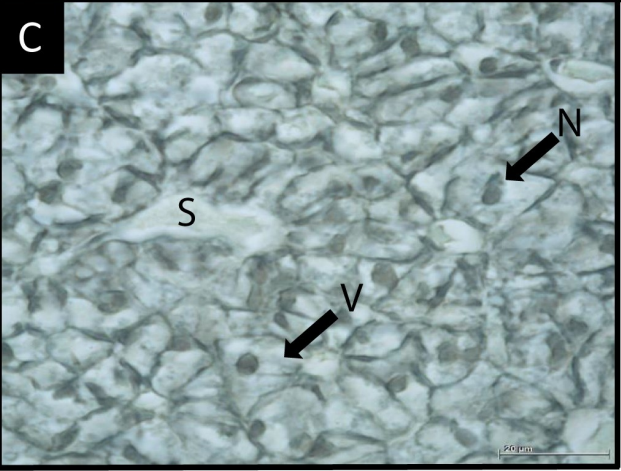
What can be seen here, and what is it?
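Liver tissue of hepatocytes that are large and distinct, their polygonal outlines marked by dark borders. The cytoplasm is largely pale and cleared by numerous wide vacuoles, and the round nuclei often lie toward one side of the cell. Pale channels of sinusoids run between the cell plates.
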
